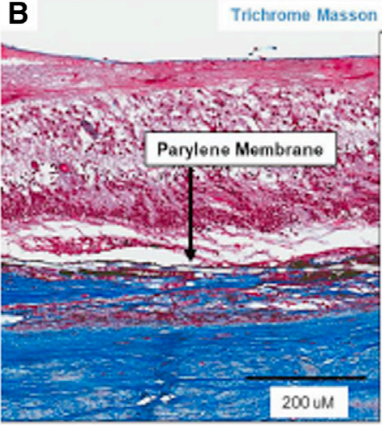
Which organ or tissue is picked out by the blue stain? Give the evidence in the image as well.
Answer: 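A broad blue-stained fibrous band lies below the thin membrane. The tissue above the membrane is red rather than blue.
Collagen.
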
